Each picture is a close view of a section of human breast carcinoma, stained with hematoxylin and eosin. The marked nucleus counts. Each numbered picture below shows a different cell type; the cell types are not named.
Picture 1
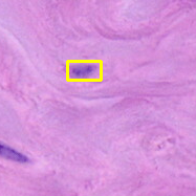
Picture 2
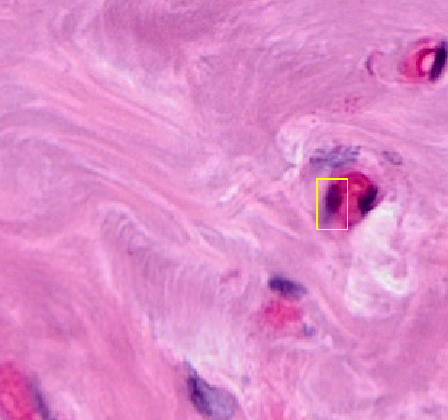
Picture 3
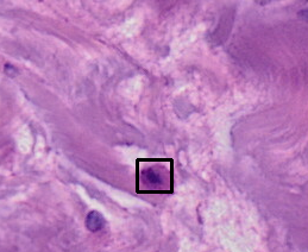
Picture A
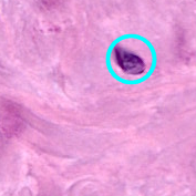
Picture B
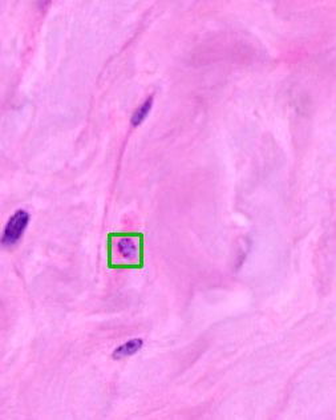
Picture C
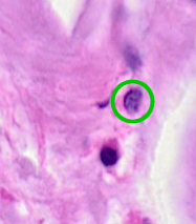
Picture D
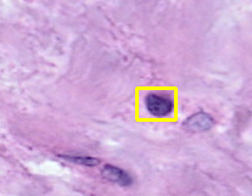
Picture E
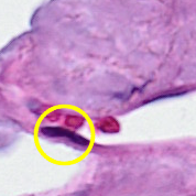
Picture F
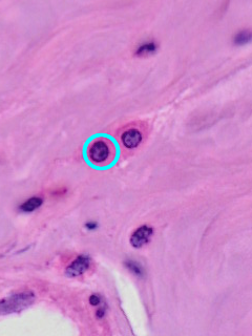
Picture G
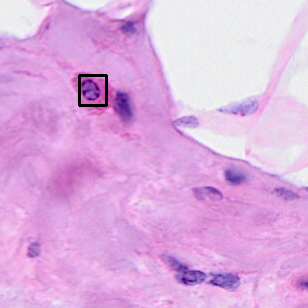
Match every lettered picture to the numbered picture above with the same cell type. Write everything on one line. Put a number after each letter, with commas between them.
A 1, B 3, C 3, D 3, E 2, F 3, G 3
